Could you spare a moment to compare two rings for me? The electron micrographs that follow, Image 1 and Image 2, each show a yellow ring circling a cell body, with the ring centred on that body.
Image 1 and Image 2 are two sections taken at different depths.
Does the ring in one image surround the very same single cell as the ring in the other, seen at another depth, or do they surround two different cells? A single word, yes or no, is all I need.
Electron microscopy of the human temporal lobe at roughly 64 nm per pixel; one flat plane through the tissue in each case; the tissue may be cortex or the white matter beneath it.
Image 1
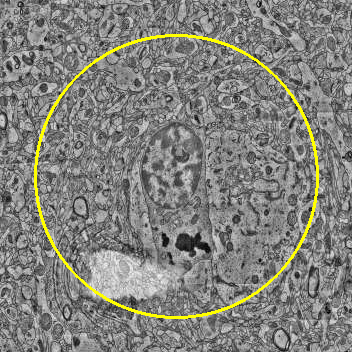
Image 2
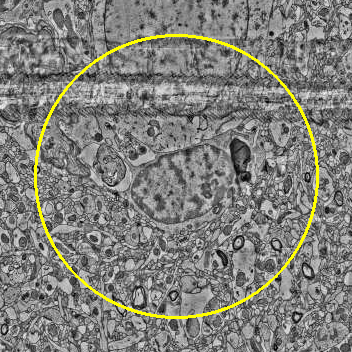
no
